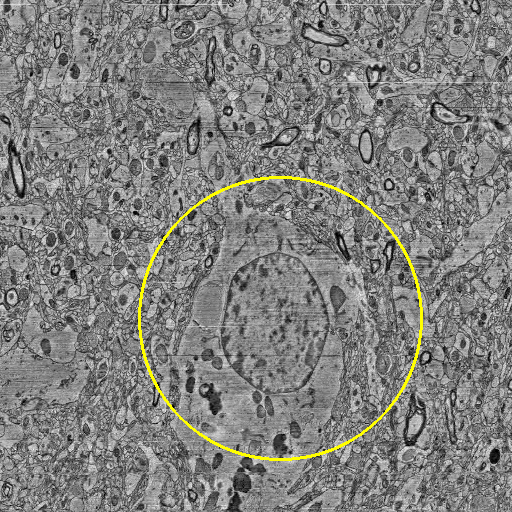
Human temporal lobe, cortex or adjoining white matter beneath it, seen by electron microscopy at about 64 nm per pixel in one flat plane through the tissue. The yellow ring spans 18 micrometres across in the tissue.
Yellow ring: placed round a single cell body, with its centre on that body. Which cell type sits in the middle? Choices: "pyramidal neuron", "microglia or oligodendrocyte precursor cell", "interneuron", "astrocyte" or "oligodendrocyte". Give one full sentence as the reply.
It is an astrocyte whose cell body sits at the centre of the yellow ring.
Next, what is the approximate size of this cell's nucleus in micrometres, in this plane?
Approximately 9 by 7 micrometers in this plane.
